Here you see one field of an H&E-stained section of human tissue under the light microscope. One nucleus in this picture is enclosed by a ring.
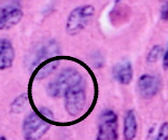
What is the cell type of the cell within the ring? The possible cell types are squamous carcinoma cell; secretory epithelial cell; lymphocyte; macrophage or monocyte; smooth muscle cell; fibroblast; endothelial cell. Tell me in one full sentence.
By its classification, the cell within the ring is a squamous carcinoma cell.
